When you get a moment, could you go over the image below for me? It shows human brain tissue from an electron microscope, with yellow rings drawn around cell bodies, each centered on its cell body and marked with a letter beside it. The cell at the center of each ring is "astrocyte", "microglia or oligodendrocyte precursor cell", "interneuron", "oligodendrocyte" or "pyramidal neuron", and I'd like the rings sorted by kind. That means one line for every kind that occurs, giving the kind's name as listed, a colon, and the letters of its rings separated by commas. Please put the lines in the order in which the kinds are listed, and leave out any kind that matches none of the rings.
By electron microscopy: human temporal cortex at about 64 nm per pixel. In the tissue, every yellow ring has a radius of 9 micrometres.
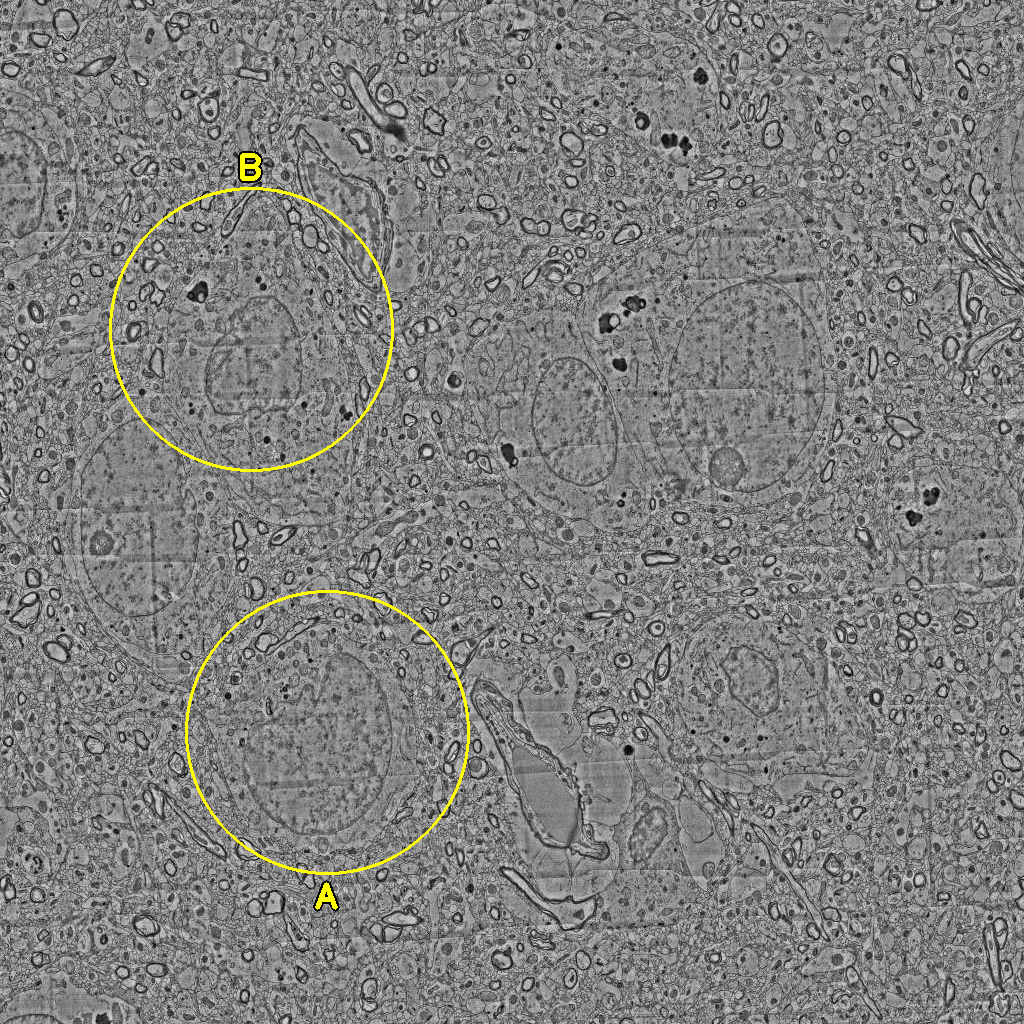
interneuron: A
pyramidal neuron: B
